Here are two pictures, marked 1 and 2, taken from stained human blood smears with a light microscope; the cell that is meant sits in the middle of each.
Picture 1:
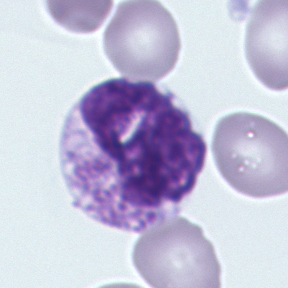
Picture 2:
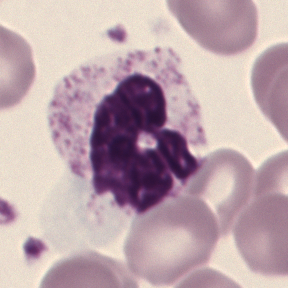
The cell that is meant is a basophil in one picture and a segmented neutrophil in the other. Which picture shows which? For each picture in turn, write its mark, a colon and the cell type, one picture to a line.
1: basophil
2: segmented neutrophil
